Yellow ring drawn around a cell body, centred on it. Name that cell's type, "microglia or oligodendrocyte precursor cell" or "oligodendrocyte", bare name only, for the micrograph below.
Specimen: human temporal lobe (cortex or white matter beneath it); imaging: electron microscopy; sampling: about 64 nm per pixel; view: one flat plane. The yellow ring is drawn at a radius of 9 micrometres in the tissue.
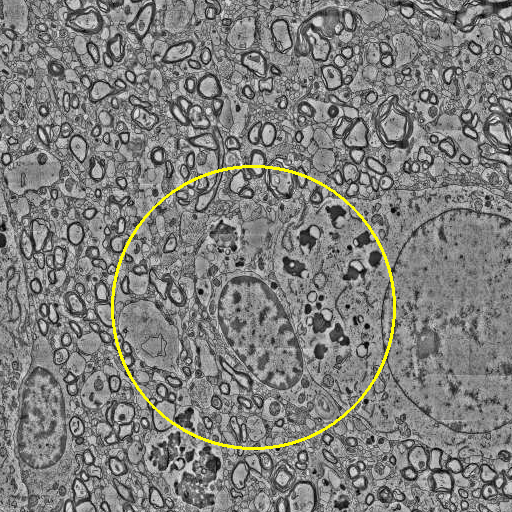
microglia or oligodendrocyte precursor cell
